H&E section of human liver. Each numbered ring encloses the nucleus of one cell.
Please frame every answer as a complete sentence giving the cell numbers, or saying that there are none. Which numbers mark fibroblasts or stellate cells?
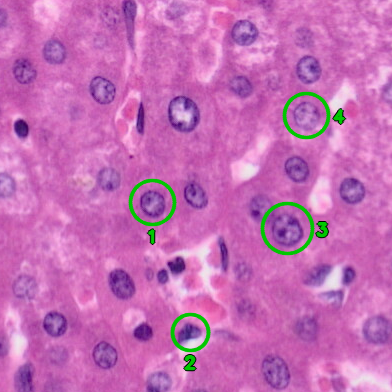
Only one choice fits: cell 2 is a fibroblast or stellate cell, and no other.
